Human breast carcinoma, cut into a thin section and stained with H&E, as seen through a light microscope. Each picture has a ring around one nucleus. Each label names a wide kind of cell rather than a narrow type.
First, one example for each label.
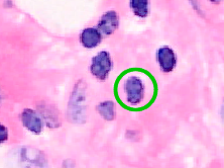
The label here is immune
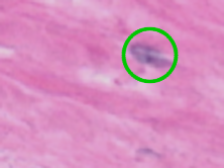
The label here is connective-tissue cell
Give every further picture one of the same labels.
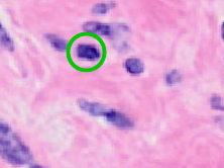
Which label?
immune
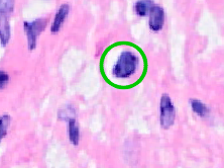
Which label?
immune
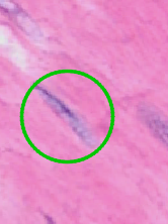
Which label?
connective-tissue cell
